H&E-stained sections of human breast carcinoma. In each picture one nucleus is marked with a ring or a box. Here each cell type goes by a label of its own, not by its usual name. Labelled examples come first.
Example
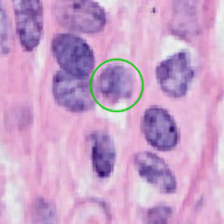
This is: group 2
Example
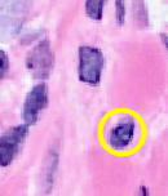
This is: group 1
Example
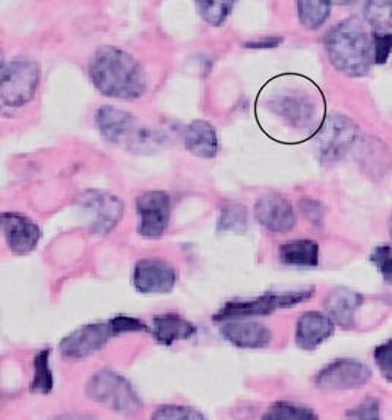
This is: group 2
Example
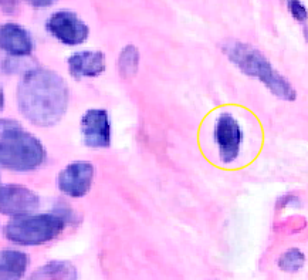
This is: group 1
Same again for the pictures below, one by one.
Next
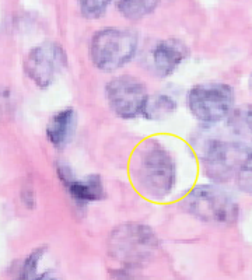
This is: group 2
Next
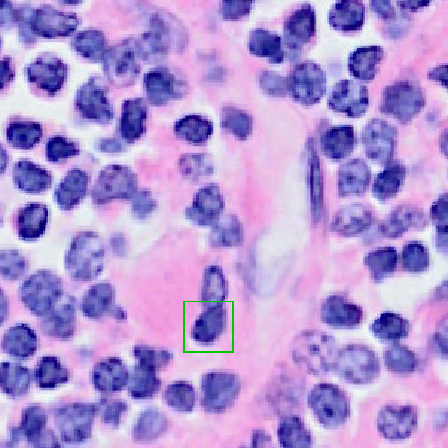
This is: group 1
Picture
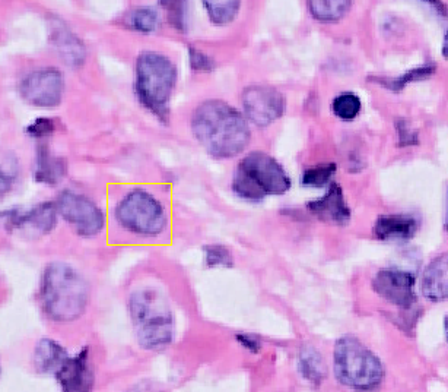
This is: group 2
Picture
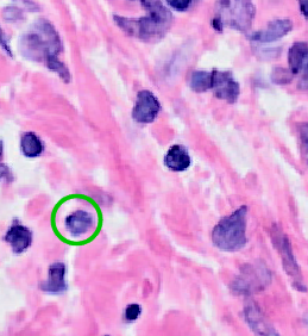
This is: group 1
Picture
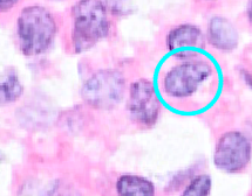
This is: group 2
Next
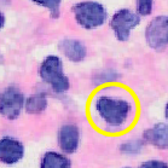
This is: group 1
